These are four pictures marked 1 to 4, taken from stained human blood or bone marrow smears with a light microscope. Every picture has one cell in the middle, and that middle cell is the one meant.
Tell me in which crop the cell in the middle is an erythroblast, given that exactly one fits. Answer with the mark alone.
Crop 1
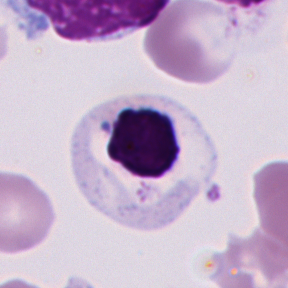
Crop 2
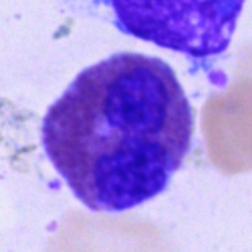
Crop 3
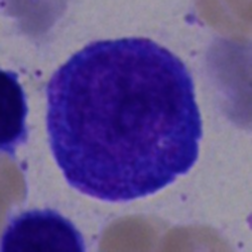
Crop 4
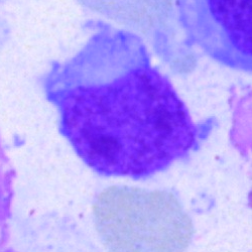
1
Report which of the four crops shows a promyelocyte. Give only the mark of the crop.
3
